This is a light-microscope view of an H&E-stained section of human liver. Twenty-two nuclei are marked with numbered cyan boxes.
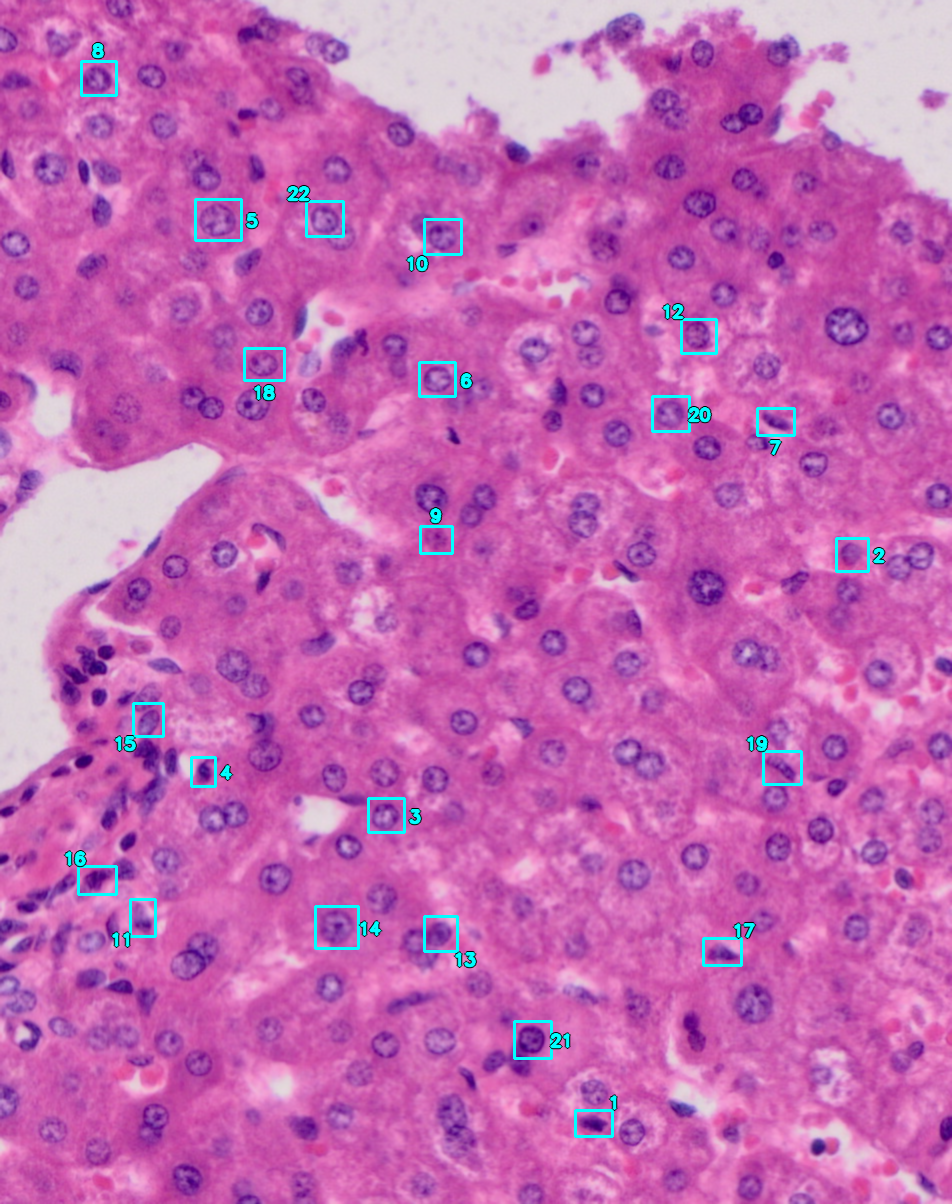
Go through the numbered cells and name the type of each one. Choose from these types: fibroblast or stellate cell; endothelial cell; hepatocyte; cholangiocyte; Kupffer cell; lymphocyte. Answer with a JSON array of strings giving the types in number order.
["fibroblast or stellate cell", "Kupffer cell", "hepatocyte", "fibroblast or stellate cell", "hepatocyte", "hepatocyte", "endothelial cell", "hepatocyte", "hepatocyte", "hepatocyte", "fibroblast or stellate cell", "hepatocyte", "fibroblast or stellate cell", "hepatocyte", "cholangiocyte", "fibroblast or stellate cell", "endothelial cell", "hepatocyte", "fibroblast or stellate cell", "hepatocyte", "hepatocyte", "hepatocyte"]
